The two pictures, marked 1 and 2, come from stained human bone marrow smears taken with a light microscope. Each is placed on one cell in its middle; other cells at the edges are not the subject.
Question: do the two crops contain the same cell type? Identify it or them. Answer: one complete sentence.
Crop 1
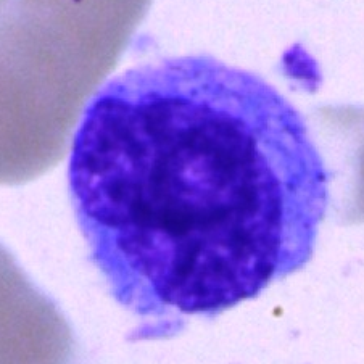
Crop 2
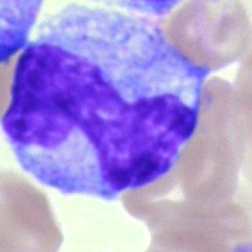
Yes, they do, both crops show monocytes.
